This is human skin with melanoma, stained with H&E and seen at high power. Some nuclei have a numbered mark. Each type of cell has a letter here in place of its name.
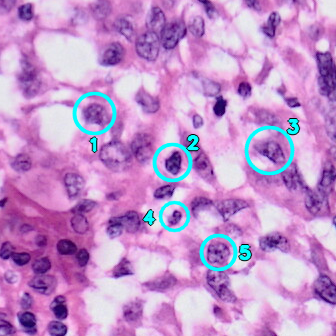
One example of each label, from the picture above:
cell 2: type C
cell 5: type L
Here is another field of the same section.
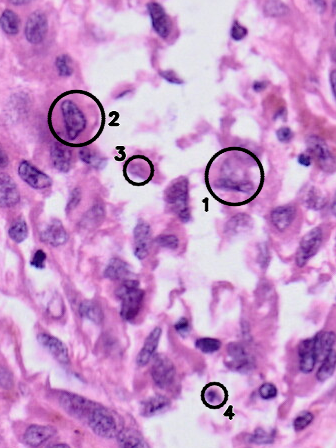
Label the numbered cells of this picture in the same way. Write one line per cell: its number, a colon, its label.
1: type L
2: type L
3: type L
4: type C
